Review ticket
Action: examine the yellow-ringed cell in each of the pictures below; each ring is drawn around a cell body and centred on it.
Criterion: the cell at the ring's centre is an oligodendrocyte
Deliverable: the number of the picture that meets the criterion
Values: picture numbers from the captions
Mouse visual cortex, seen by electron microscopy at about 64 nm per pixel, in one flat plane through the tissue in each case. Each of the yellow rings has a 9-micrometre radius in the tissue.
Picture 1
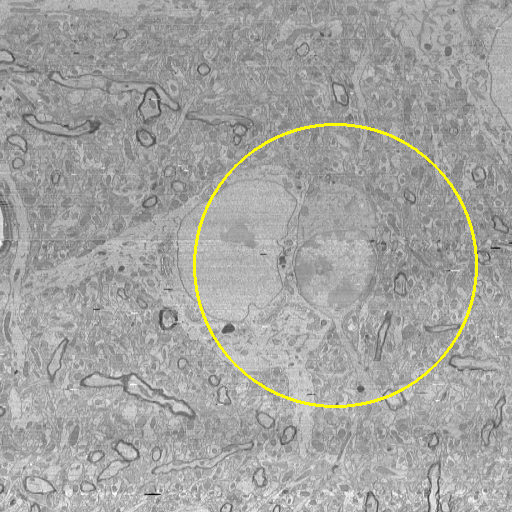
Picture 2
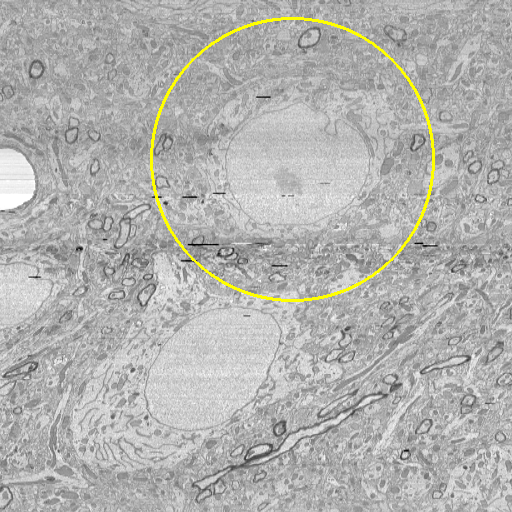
1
